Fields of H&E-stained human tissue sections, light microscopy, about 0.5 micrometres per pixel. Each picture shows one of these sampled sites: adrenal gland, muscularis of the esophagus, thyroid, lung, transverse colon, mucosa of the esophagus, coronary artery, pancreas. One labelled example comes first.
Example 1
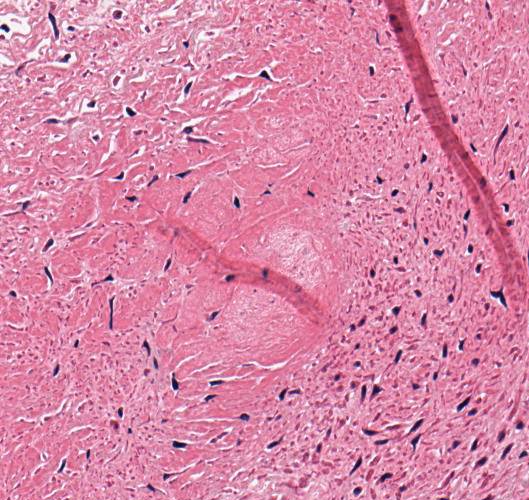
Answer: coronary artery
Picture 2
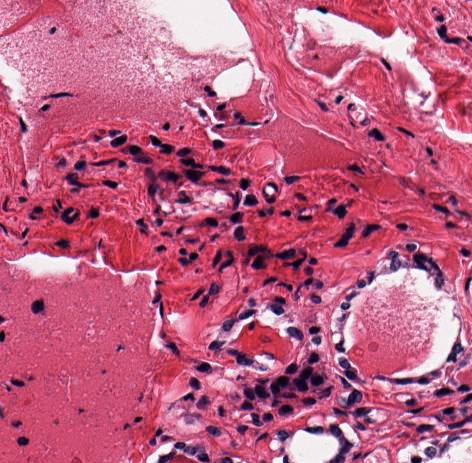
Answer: thyroid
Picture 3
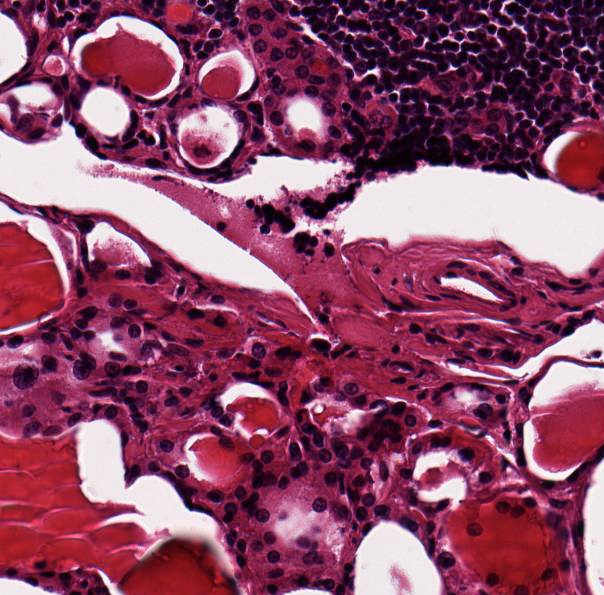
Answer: thyroid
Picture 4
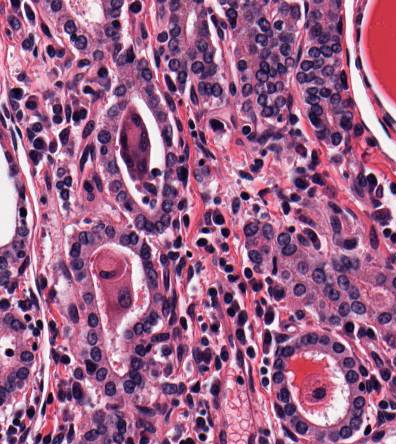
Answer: thyroid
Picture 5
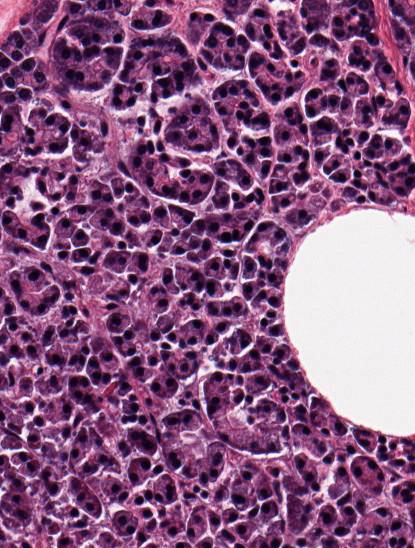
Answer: pancreas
